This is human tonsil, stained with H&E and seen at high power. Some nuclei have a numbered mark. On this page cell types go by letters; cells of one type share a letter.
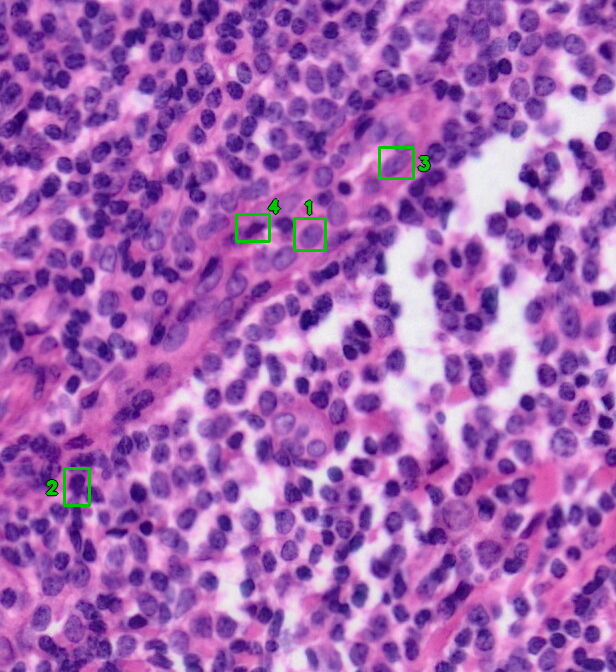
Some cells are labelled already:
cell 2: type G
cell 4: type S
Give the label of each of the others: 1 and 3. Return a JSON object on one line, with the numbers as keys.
{"1": "type S", "3": "type S"}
